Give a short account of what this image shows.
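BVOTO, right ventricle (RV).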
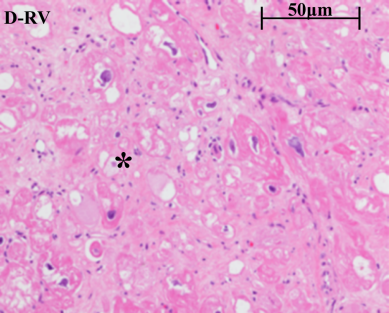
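Ventricular myocardium in which cardiomyocytes show pale, rarefied pink cytoplasm. Many cells contain clear round vacuoles of varying size. Some nuclei are enlarged and dark, lying among the vacuolated cytoplasm. Small dark nuclei of interstitial cells are scattered between the muscle cells. The overall picture is of vacuolization of cardiomyocytes.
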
